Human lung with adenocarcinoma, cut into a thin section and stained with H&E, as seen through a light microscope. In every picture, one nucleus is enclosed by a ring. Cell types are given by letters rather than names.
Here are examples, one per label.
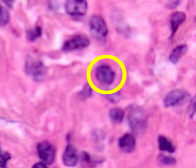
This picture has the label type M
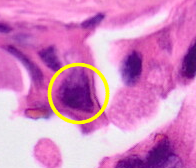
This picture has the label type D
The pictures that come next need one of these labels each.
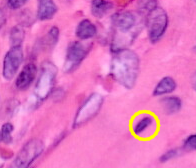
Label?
type M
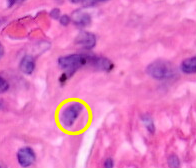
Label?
type M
